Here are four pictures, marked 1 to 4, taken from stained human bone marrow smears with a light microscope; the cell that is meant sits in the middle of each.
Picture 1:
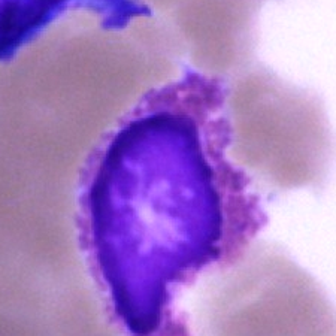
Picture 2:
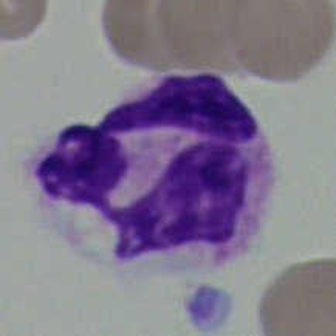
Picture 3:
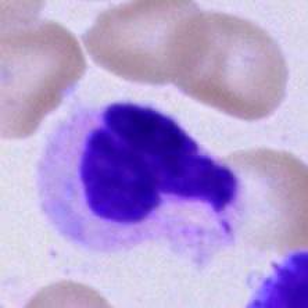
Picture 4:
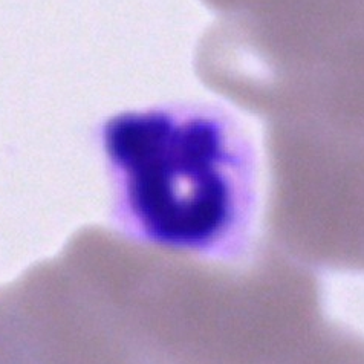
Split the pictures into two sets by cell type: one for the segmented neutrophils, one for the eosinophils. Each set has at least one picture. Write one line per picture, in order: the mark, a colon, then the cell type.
1: eosinophil
2: segmented neutrophil
3: segmented neutrophil
4: segmented neutrophil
